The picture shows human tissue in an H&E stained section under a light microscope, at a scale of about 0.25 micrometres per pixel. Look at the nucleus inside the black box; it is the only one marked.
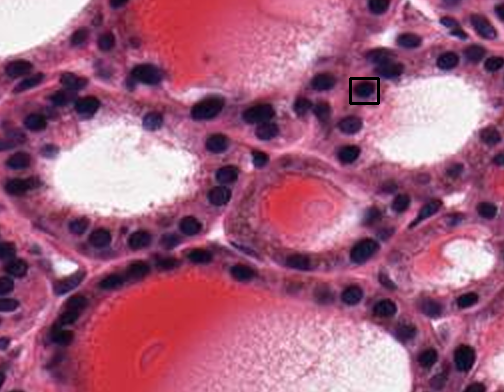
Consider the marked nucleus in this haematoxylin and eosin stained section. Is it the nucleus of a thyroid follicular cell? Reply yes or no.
yes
